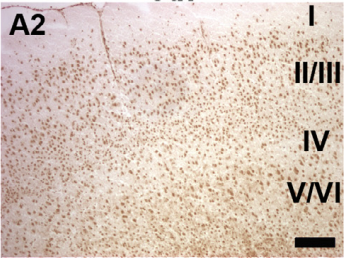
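This section of cerebral cortex shows many small neuronal cell bodies stained brown, scattered across the thickness of the grey matter. At the top lies a narrow, nearly cell-free surface layer. Beneath it the cell bodies become more numerous, and their density and size change from the upper to the deeper layers, giving the cortex its layered look. The background neuropil between the cells is pale, so each stained cell body stands out as a dot.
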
